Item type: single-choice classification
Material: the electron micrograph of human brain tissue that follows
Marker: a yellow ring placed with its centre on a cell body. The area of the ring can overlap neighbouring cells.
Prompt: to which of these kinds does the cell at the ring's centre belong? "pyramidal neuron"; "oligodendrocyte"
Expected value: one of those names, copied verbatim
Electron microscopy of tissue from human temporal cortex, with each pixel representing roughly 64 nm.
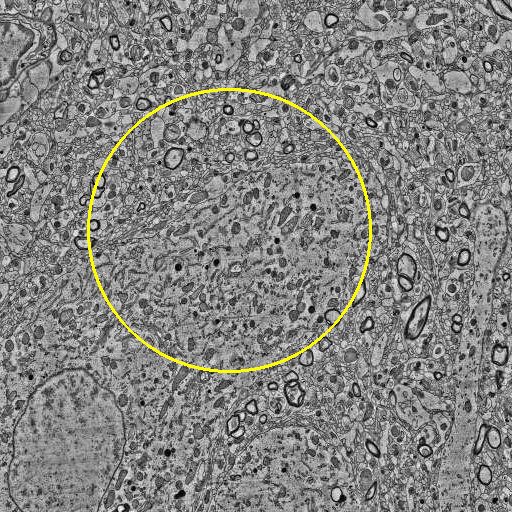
pyramidal neuron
